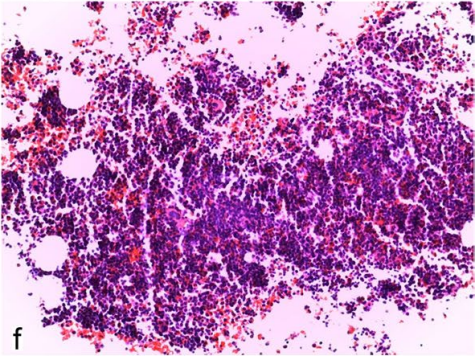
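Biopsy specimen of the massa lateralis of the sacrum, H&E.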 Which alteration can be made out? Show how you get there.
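Dense sheets of small purple-nucleated cells fill most of the field. Only a few round clear fat vacuoles are scattered among the cells. Red blood cells are scattered between the nucleated cells. So: hypercellular bone marrow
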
